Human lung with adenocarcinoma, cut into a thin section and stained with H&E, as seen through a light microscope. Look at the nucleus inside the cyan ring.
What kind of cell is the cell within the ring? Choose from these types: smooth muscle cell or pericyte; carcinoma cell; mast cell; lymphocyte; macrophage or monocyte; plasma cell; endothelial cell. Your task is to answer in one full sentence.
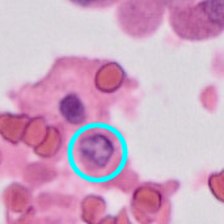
In this section of tissue, the cell within the ring is a macrophage or monocyte.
